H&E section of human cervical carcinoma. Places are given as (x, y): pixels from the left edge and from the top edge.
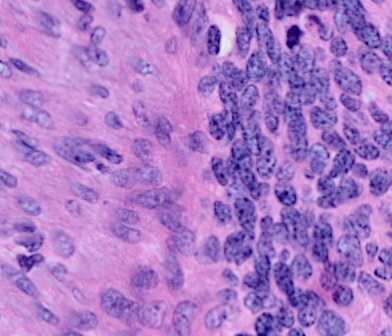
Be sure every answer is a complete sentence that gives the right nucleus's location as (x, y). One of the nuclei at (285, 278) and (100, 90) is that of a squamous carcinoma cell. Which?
Heads up, the nucleus at (285, 278) is the one that belongs to a squamous carcinoma cell.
